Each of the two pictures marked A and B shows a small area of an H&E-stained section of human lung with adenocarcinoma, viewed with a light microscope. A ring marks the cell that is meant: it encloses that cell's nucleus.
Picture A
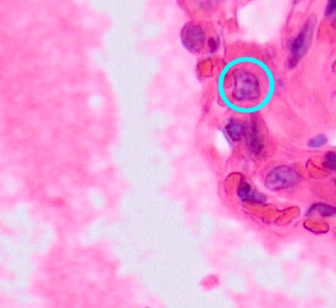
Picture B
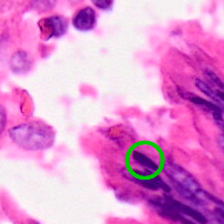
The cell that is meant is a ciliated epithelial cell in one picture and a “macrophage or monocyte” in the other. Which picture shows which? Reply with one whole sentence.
In picture A the cell is a “macrophage or monocyte”; in picture B, a ciliated epithelial cell.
